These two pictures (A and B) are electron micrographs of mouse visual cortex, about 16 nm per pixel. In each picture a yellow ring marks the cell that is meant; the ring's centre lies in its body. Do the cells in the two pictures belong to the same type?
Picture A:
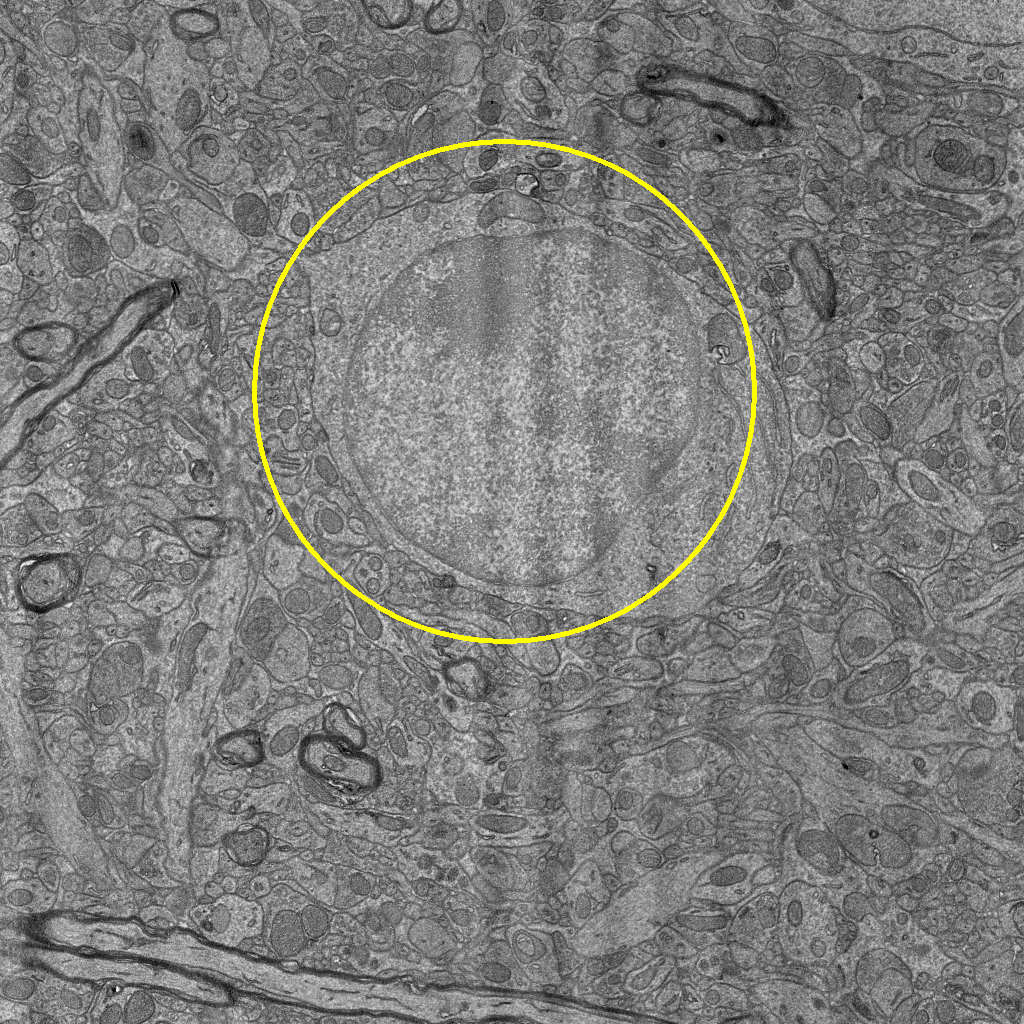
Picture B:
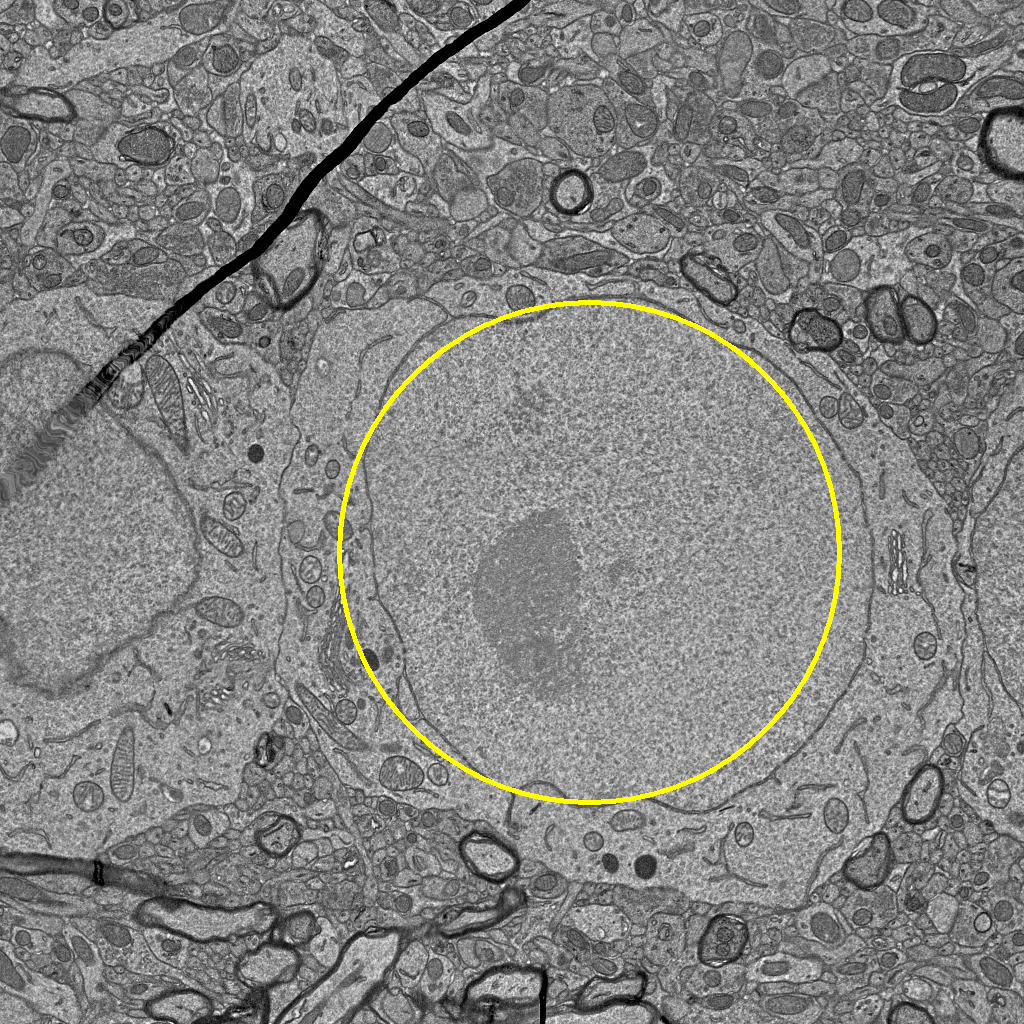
No. Picture A shows an oligodendrocyte, but picture B shows an excitatory neuron.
